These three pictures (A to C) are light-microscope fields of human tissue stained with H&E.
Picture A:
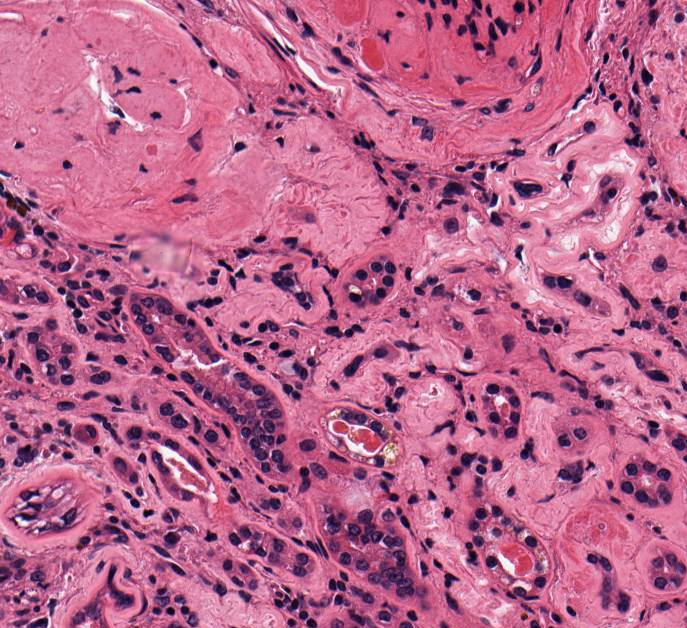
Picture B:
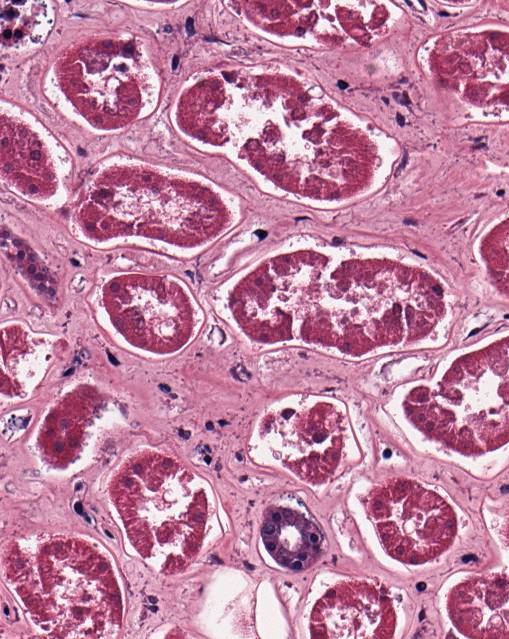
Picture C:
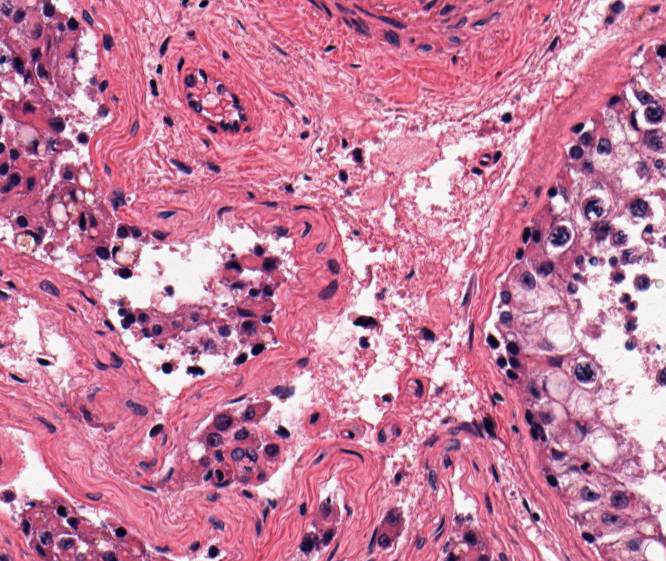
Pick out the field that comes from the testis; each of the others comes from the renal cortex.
C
